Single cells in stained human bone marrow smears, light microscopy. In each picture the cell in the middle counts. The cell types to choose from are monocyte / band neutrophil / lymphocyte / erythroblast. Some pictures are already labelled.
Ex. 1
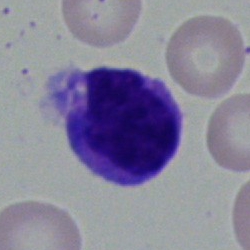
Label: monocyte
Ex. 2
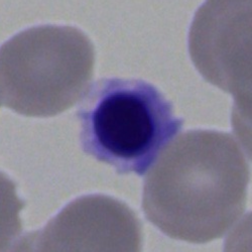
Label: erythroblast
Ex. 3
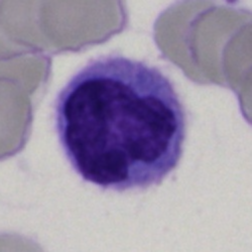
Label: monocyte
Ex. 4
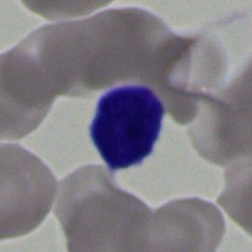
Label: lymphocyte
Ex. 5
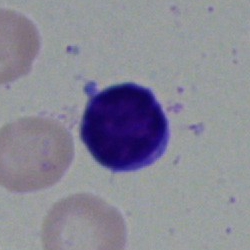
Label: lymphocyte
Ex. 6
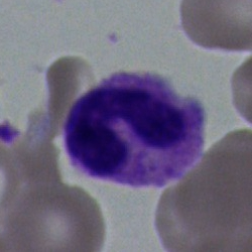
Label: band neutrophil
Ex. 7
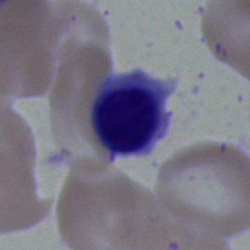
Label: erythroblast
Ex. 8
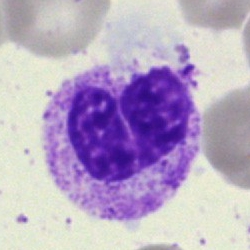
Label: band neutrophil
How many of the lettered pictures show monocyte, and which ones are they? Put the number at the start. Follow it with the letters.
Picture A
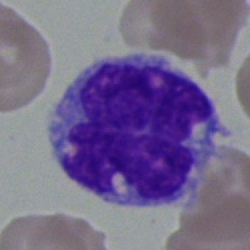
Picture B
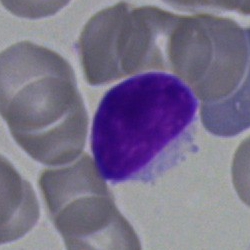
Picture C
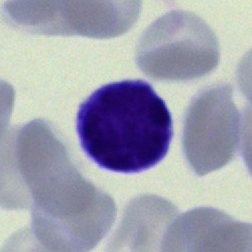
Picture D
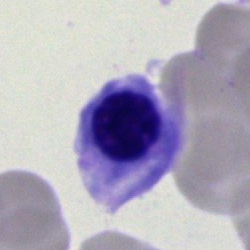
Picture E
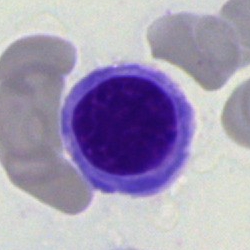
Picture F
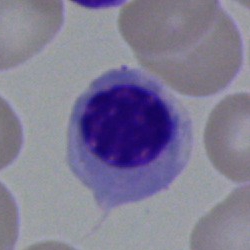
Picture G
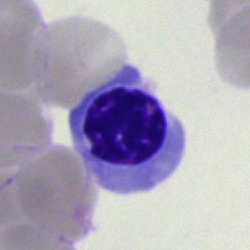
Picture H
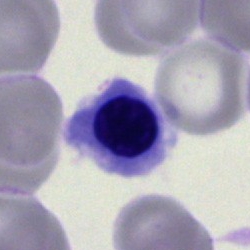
Count: 1 (A)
